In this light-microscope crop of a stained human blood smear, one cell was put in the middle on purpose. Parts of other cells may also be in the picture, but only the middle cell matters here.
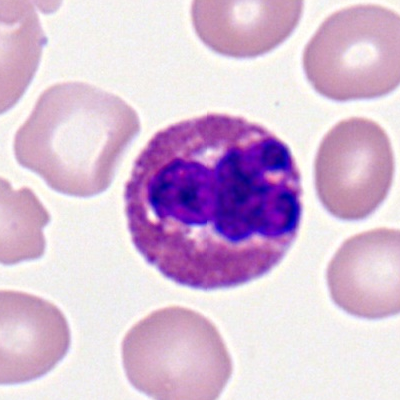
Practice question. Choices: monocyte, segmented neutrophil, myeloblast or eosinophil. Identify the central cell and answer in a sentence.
Positioned in the middle of the crop is an eosinophil.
